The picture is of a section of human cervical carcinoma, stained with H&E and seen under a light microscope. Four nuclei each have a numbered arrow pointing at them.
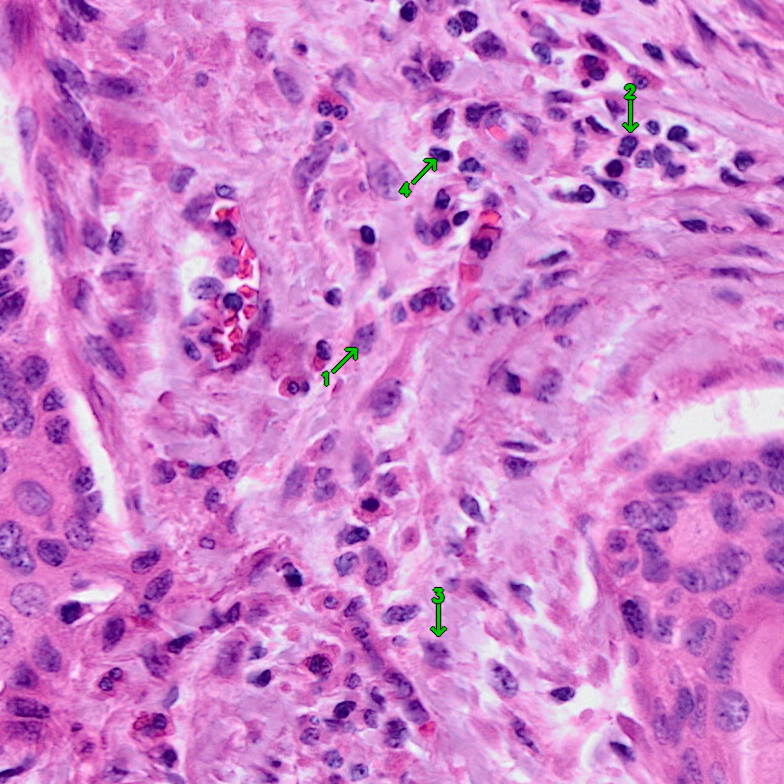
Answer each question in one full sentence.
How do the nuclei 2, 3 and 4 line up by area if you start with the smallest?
From smallest to largest, the order is 4, 2, 3.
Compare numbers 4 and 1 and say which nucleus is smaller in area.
With nucleus 1 about 2.5 times its size, nucleus 4 is the smaller of the two.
